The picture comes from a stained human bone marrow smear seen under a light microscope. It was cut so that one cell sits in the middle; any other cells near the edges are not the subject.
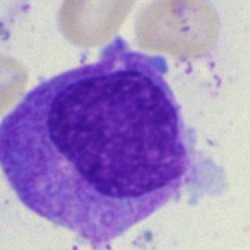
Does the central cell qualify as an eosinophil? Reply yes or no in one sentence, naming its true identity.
No, this is not an eosinophil at all; the cell in the middle is a promyelocyte.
